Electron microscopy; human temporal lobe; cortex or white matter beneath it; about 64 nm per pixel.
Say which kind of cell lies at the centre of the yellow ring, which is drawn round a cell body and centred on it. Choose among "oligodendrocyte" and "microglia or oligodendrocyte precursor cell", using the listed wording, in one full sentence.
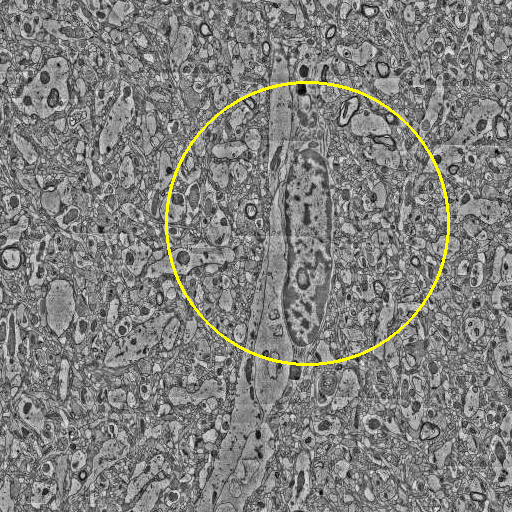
Going by the list, the cell at the yellow ring's centre is a microglial cell or oligodendrocyte precursor cell.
